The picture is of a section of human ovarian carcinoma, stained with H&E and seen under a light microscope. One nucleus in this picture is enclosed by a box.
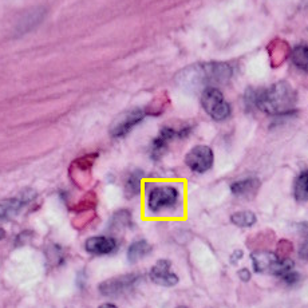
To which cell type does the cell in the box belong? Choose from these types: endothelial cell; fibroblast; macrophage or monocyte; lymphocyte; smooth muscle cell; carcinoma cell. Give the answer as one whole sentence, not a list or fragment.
In this field of tissue, the cell in the box is a lymphocyte.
